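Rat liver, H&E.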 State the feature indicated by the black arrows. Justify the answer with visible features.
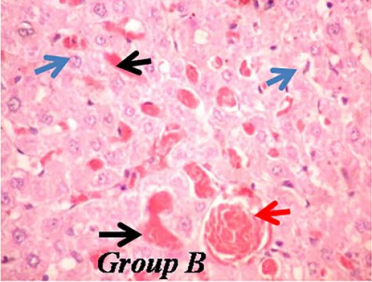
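The arrows point to spaces between hepatocyte cords filled with red material. These spaces are widened compared with the thin clefts elsewhere. On this evidence: sinusoids.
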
